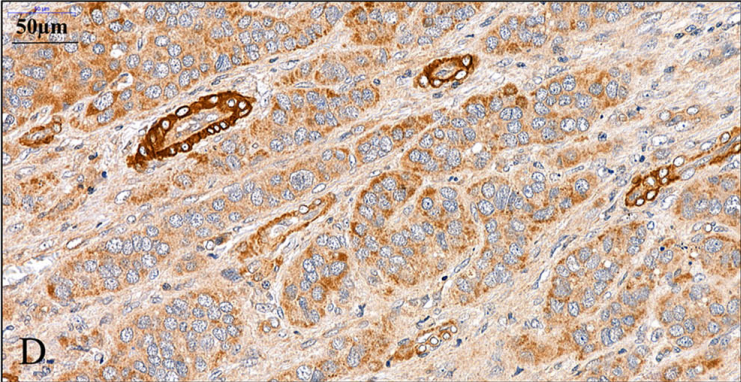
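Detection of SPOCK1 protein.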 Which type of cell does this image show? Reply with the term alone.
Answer: Tumor cells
